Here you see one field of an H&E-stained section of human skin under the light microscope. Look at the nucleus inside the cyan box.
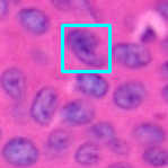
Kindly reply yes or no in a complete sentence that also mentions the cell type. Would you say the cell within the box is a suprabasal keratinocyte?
Yes, the cell within the box in this section represents a suprabasal keratinocyte.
